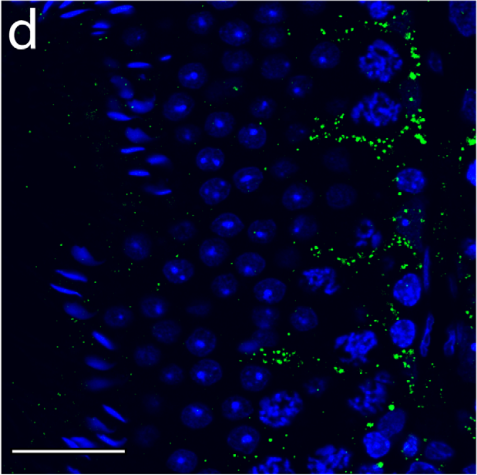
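At the left, toward the lumen, lie slender elongated dense nuclei; in the middle are many small round nuclei, and at the right larger nuclei with coarse clumped chromatin. The green dots are scattered in bands between these nuclei, mostly in the outer part of the epithelium.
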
